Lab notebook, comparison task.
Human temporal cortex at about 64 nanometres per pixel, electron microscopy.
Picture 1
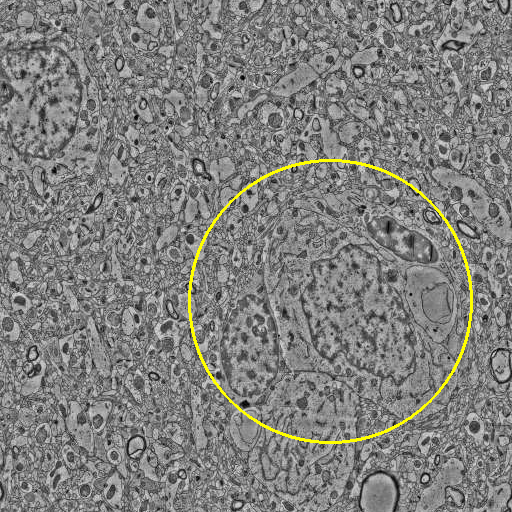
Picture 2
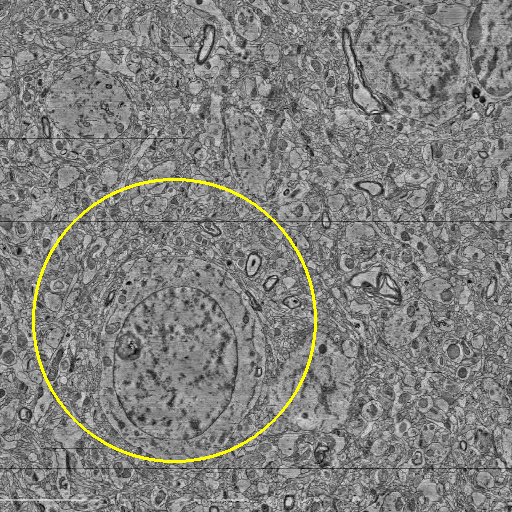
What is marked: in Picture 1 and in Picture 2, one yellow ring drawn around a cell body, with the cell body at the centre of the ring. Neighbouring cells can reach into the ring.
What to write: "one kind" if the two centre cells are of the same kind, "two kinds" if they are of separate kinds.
two kinds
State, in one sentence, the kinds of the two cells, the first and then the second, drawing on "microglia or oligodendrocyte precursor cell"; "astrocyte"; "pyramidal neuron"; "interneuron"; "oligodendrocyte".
The ring in the second picture is centred on a pyramidal neuron, the ring in the first on an interneuron.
